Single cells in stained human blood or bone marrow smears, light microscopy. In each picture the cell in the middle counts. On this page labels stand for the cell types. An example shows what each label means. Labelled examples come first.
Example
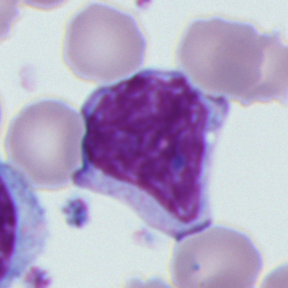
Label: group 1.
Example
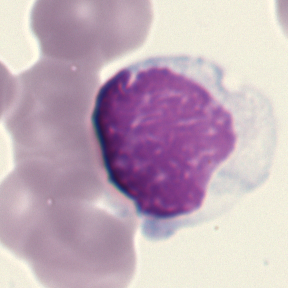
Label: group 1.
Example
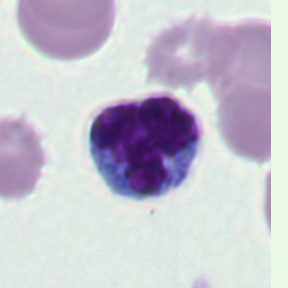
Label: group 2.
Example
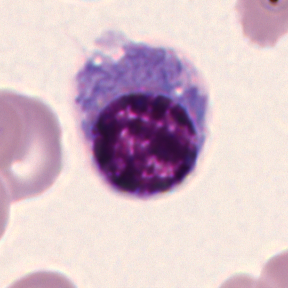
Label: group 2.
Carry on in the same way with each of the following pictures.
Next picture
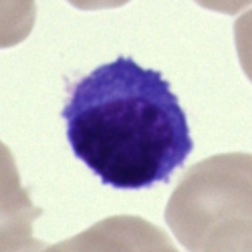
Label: group 2.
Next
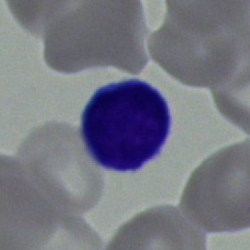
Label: group 1.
